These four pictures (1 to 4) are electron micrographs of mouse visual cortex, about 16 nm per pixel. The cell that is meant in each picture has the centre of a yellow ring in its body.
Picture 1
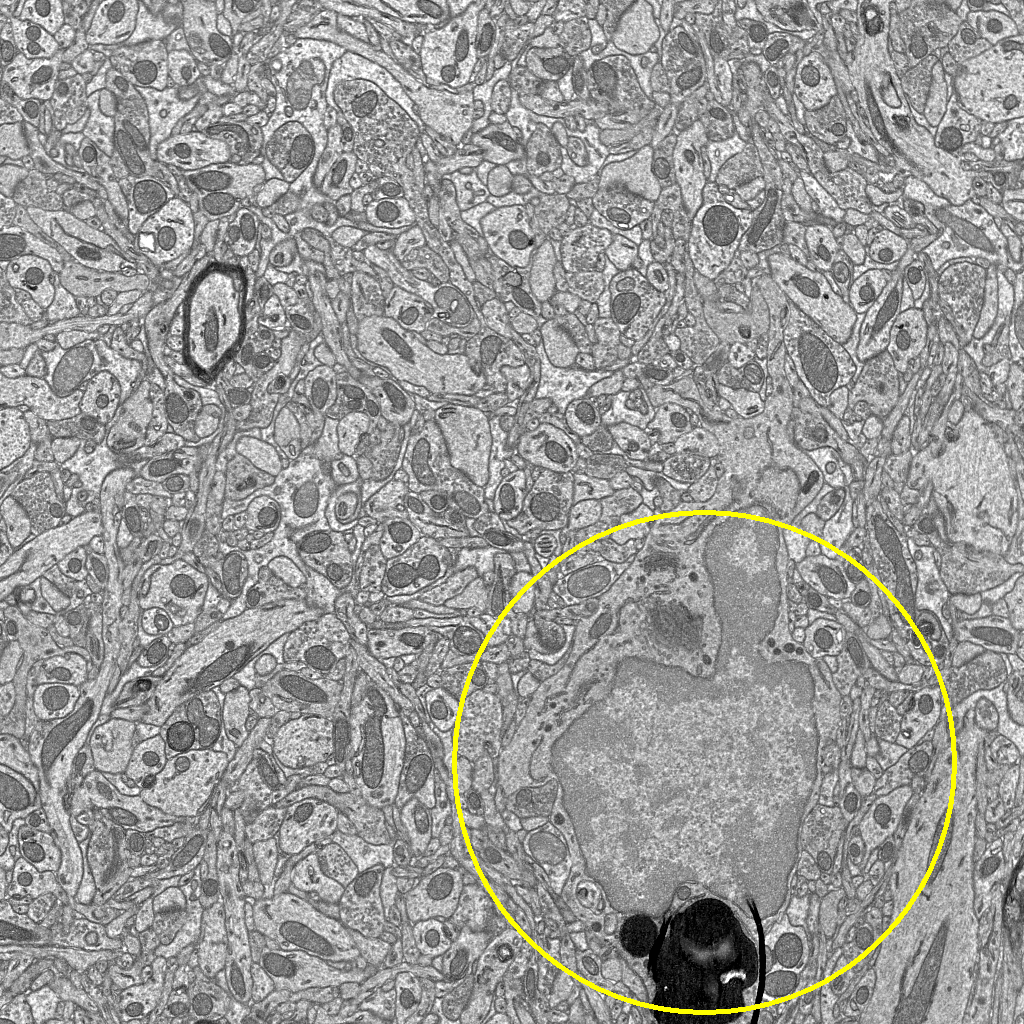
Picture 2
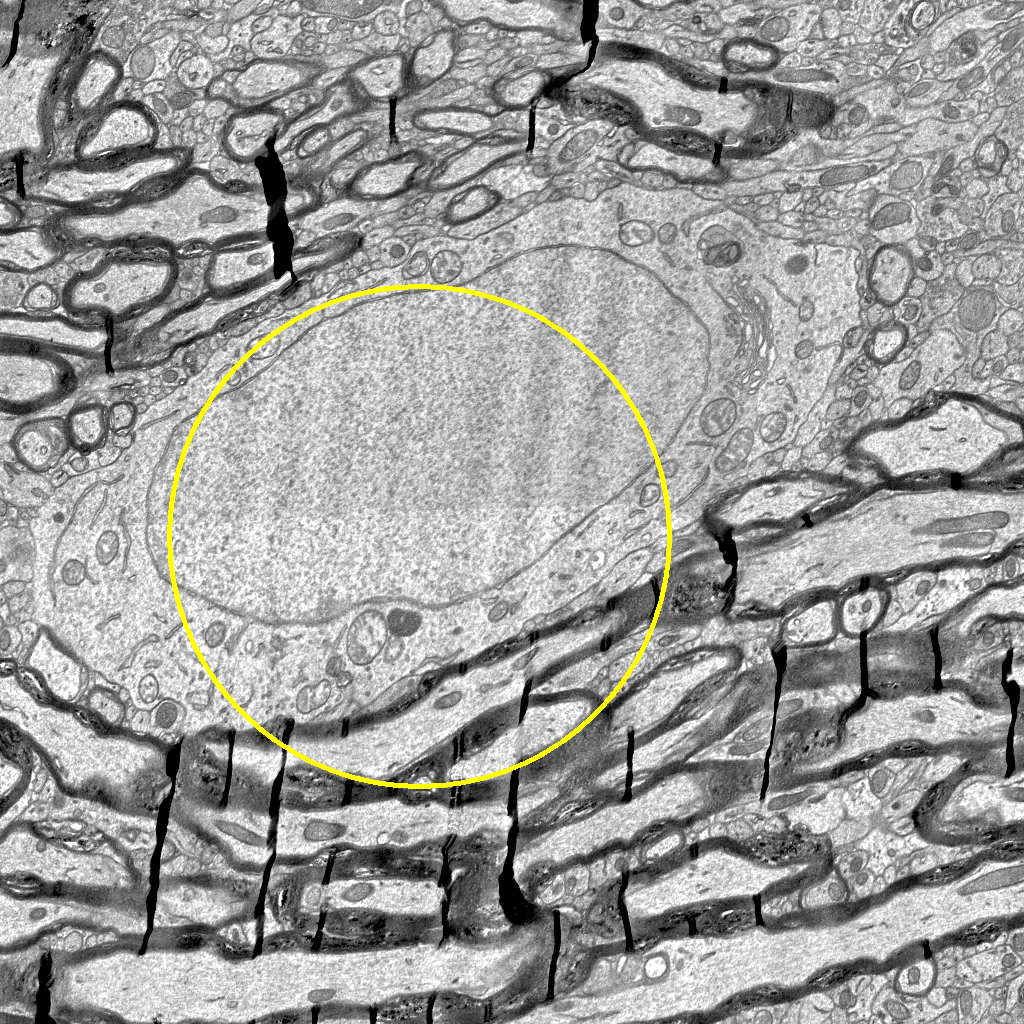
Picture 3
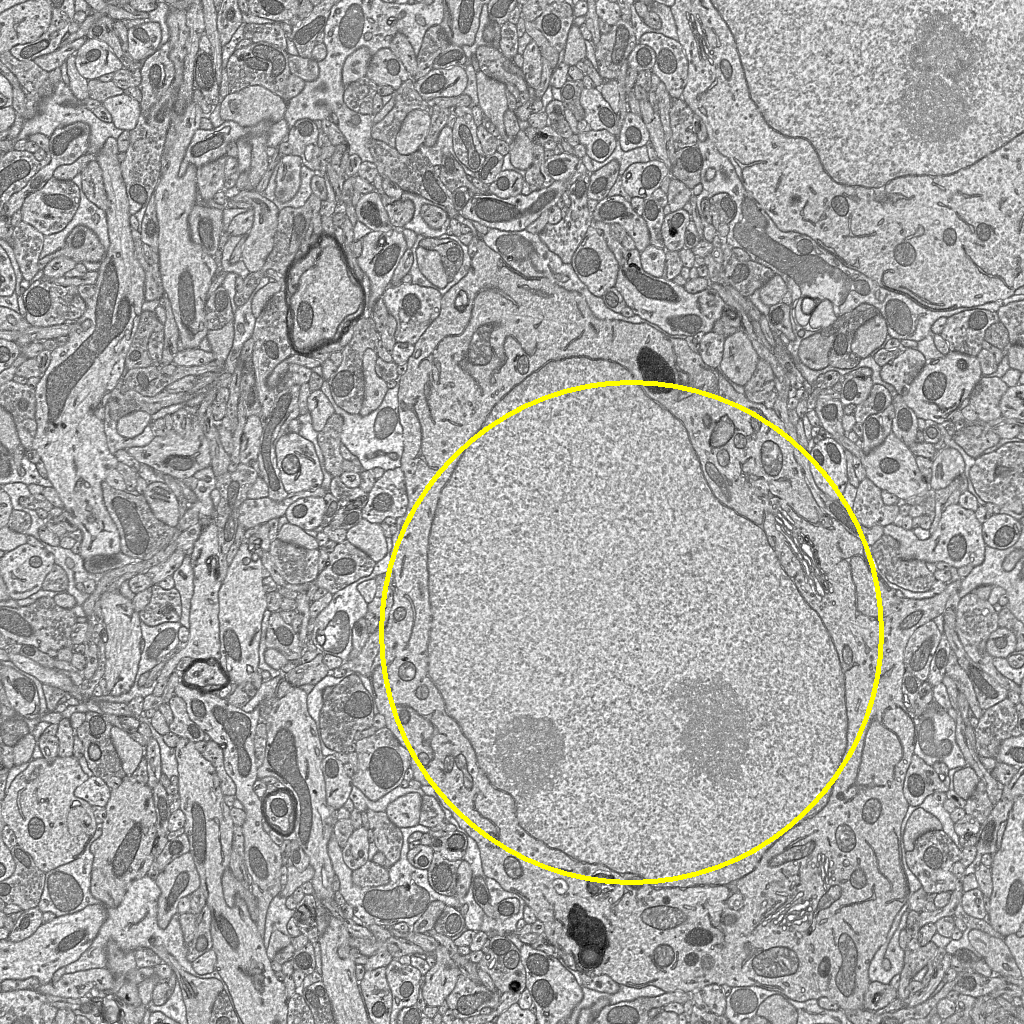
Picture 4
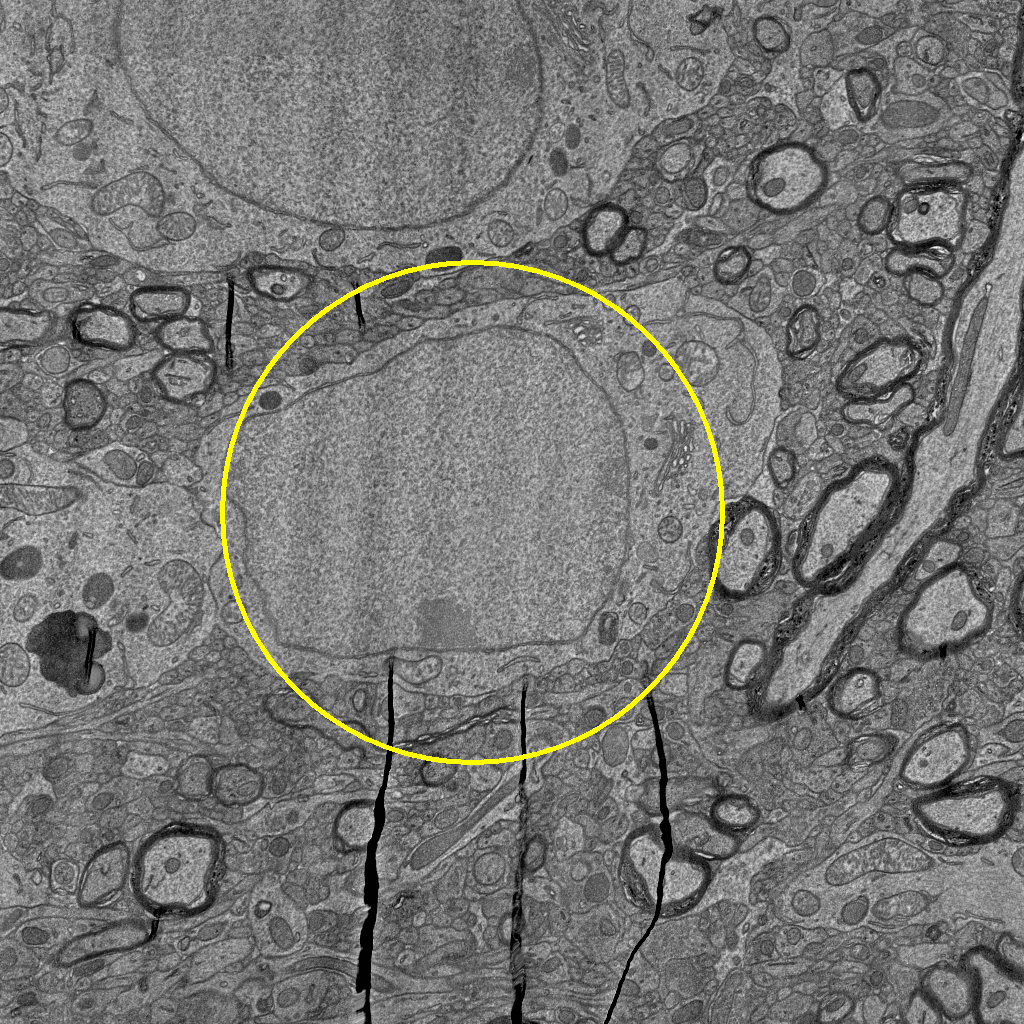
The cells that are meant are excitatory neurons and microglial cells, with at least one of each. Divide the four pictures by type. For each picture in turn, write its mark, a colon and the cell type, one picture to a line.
1: microglial cell
2: excitatory neuron
3: excitatory neuron
4: excitatory neuron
